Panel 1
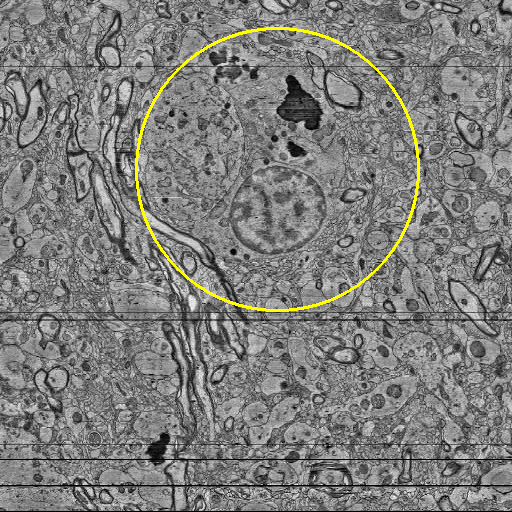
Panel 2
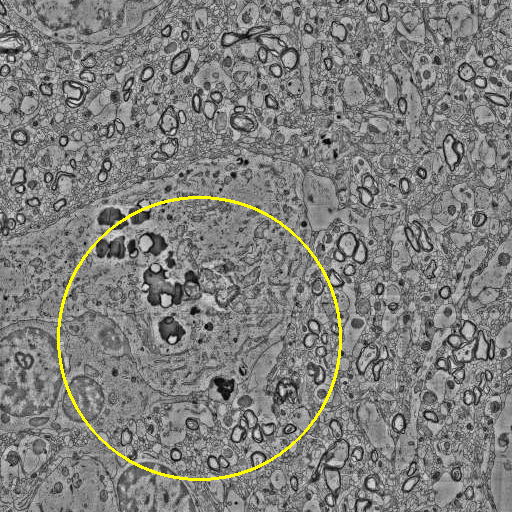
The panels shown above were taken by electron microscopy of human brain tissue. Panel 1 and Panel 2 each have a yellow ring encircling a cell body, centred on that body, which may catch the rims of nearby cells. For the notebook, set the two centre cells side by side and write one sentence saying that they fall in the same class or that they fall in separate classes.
The centred cells of Panel 1 and Panel 2 fall in the same class.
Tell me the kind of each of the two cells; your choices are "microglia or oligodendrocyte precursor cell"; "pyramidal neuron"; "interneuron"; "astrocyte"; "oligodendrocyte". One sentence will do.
Both rings mark an oligodendrocyte, one in each picture.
